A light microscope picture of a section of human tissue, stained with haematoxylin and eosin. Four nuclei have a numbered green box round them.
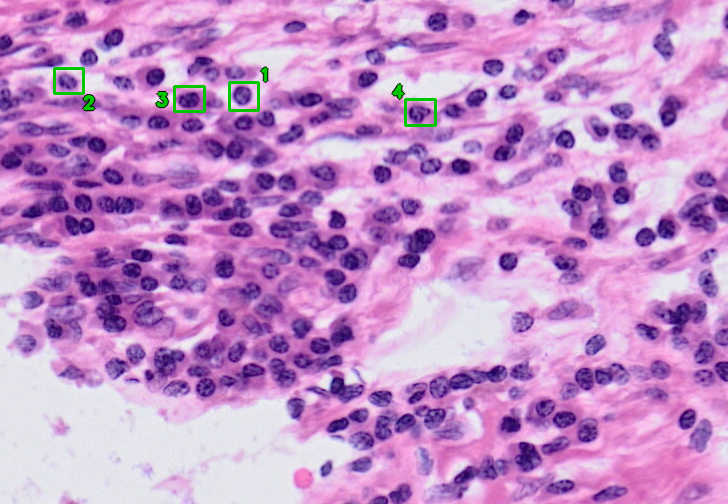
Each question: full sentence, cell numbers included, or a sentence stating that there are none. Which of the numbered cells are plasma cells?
The numbers 2, 3 and 4 in this section indicate plasma cells.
